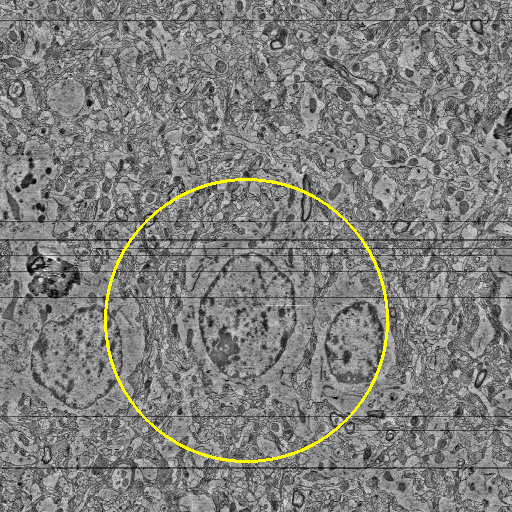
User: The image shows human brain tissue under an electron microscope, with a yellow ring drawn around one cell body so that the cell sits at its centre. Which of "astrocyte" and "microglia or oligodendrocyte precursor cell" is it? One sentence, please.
At the centre of the ring sits an astrocyte.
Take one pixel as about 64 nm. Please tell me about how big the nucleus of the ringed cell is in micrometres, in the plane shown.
The ringed cell's nucleus is about 8 micrometres long and 6 micrometres wide in this plane.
